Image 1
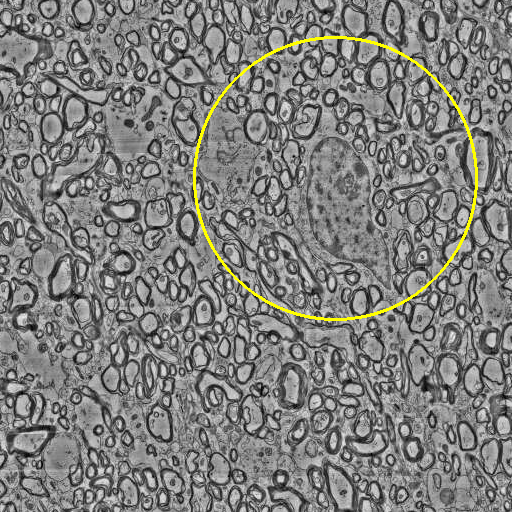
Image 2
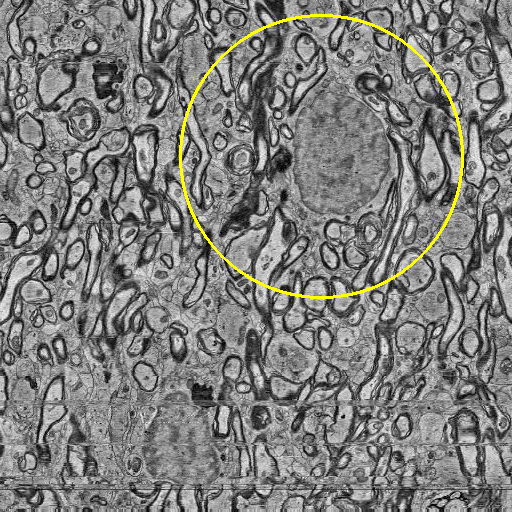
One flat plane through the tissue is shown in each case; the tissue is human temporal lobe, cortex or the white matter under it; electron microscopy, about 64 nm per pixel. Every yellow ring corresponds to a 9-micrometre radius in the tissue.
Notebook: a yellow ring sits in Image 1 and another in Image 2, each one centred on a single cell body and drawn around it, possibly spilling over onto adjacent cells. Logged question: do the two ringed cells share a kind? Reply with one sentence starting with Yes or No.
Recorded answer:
No, the centre cells inside the rings of Image 1 and Image 2 are of two kinds.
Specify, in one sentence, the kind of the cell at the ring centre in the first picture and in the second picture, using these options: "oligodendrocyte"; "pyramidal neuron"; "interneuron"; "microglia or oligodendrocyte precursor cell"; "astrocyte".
So the first is a microglial cell or oligodendrocyte precursor cell, the second an oligodendrocyte.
